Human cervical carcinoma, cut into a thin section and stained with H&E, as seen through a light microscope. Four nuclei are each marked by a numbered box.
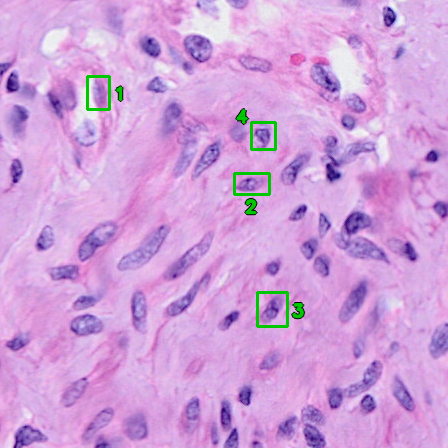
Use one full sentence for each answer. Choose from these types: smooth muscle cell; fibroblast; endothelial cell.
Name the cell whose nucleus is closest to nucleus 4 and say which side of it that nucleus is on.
The closest nucleus belongs to a smooth muscle cell and sits to the left of nucleus 4.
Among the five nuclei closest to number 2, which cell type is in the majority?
The majority of the five nuclei closest to number 2 belong to smooth muscle cells.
